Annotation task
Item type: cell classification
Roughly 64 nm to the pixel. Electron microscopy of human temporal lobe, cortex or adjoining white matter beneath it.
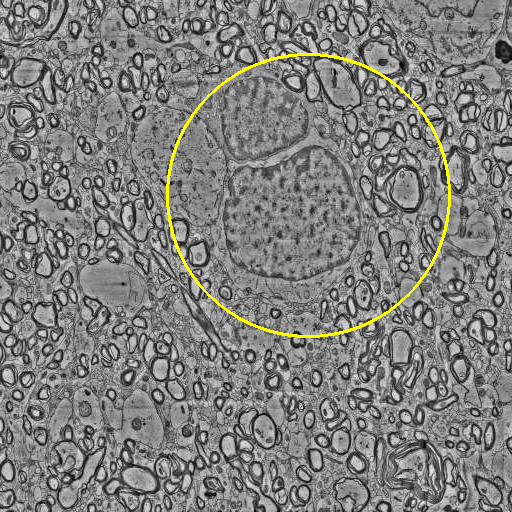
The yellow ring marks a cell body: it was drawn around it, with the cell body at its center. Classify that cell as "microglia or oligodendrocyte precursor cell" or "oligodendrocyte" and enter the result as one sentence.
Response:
The ring's center falls on a microglial cell or oligodendrocyte precursor cell.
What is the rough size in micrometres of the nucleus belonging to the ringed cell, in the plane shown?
The ringed cell's nucleus is about 9 micrometres across in this plane.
